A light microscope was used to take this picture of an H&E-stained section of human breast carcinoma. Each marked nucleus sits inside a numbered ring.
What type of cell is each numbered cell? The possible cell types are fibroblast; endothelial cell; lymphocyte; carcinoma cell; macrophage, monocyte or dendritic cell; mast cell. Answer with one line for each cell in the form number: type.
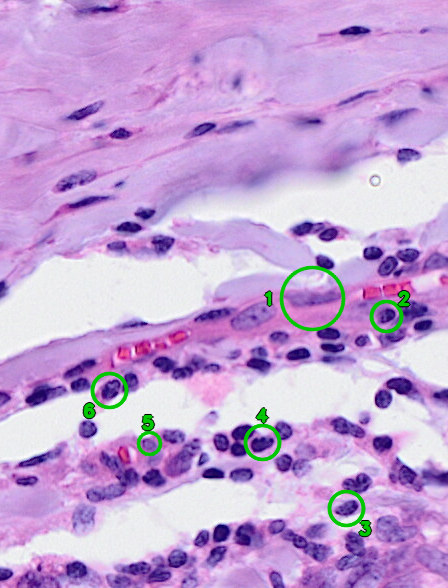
1: endothelial cell
2: lymphocyte
3: lymphocyte
4: lymphocyte
5: endothelial cell
6: lymphocyte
